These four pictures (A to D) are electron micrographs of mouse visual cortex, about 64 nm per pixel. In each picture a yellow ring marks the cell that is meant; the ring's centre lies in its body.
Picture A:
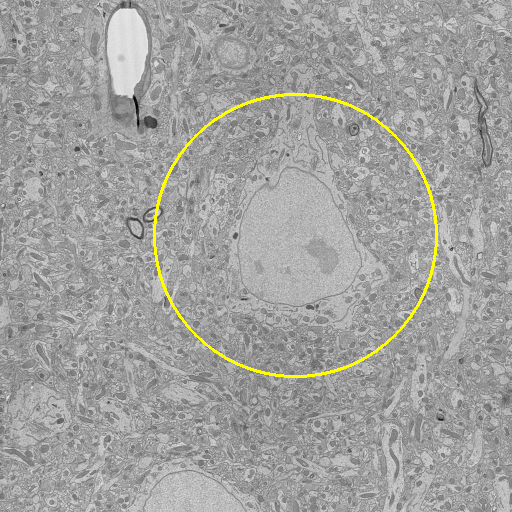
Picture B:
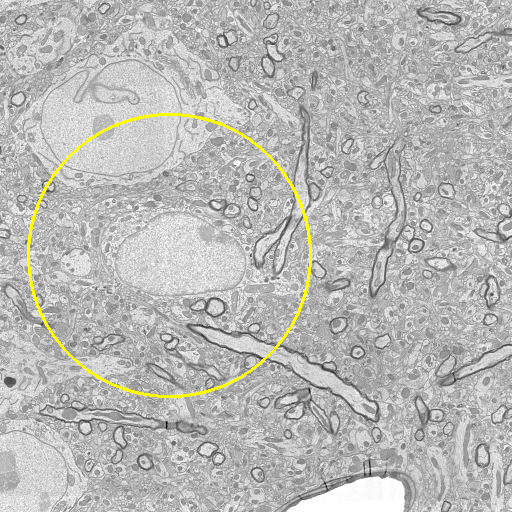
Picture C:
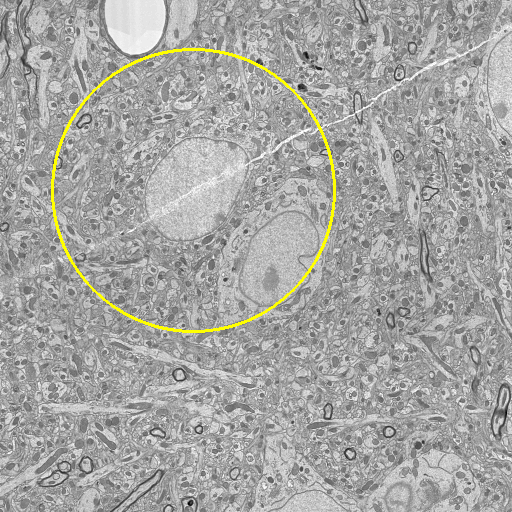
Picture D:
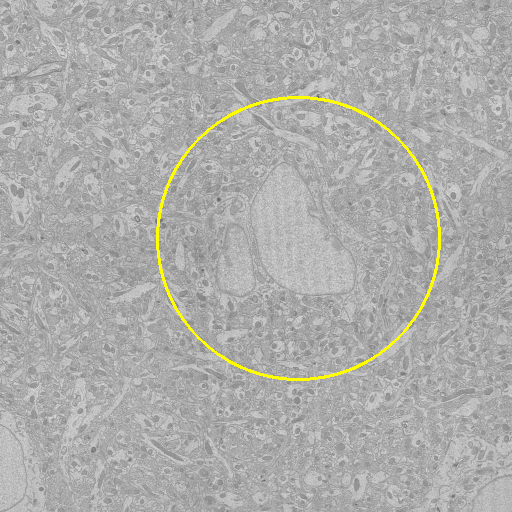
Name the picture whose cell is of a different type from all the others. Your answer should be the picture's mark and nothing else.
A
